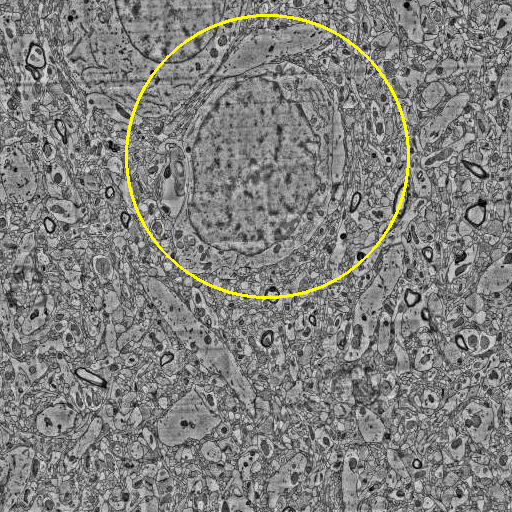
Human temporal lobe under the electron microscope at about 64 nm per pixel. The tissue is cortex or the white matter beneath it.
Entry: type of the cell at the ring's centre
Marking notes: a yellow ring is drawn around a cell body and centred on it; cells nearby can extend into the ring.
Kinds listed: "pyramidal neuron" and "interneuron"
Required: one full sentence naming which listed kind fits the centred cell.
My entry names an interneuron as the cell whose body the yellow ring centres on.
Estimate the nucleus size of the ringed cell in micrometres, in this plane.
About 11 by 9 micrometers, in this plane.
